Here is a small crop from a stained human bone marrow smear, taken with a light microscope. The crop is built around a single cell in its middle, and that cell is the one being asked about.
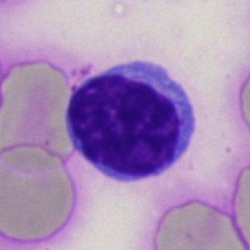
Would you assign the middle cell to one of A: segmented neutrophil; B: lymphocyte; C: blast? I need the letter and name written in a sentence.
In this crop the central cell is a lymphocyte, which option B correctly states.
